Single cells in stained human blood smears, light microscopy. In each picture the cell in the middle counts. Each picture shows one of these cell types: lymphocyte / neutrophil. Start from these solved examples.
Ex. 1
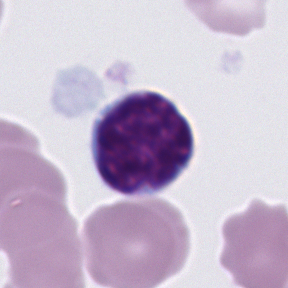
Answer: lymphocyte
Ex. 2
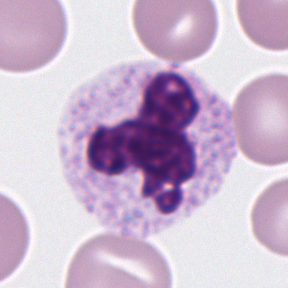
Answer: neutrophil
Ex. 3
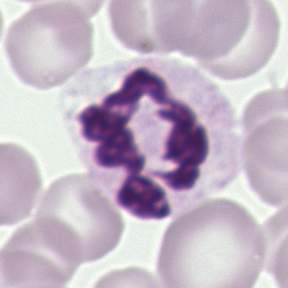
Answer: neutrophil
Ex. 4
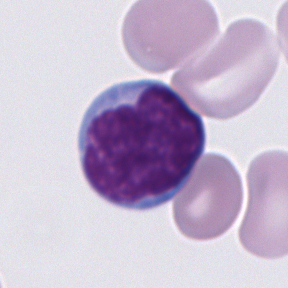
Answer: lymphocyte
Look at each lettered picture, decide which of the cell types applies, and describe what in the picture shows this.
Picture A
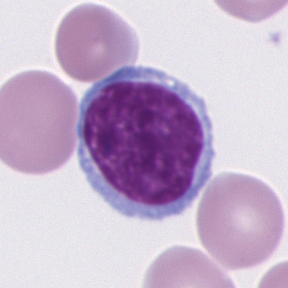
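lymphocyte: The cytoplasm forms a narrow pale blue rim around the nucleus.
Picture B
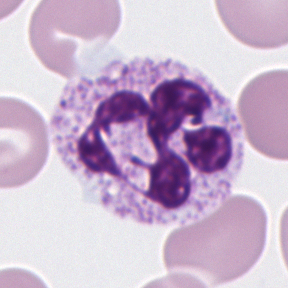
neutrophil: The cytoplasm is plentiful and pale pinkish-lilac.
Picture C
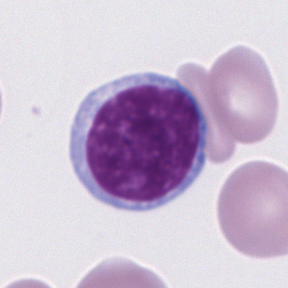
lymphocyte: The cytoplasm forms a thin rim that is widest on the left side of the nucleus.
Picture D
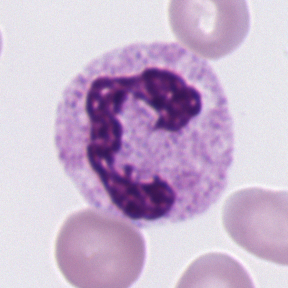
neutrophil: The nucleus is a single curved band shaped like a C that opens toward the right.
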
